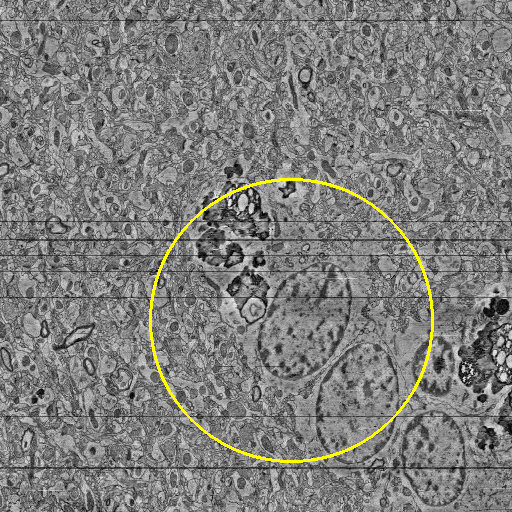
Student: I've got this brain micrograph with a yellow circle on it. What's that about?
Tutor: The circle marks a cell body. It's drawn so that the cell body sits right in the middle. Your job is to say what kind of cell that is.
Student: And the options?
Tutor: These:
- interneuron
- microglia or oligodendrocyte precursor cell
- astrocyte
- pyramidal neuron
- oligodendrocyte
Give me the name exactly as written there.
astrocyte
